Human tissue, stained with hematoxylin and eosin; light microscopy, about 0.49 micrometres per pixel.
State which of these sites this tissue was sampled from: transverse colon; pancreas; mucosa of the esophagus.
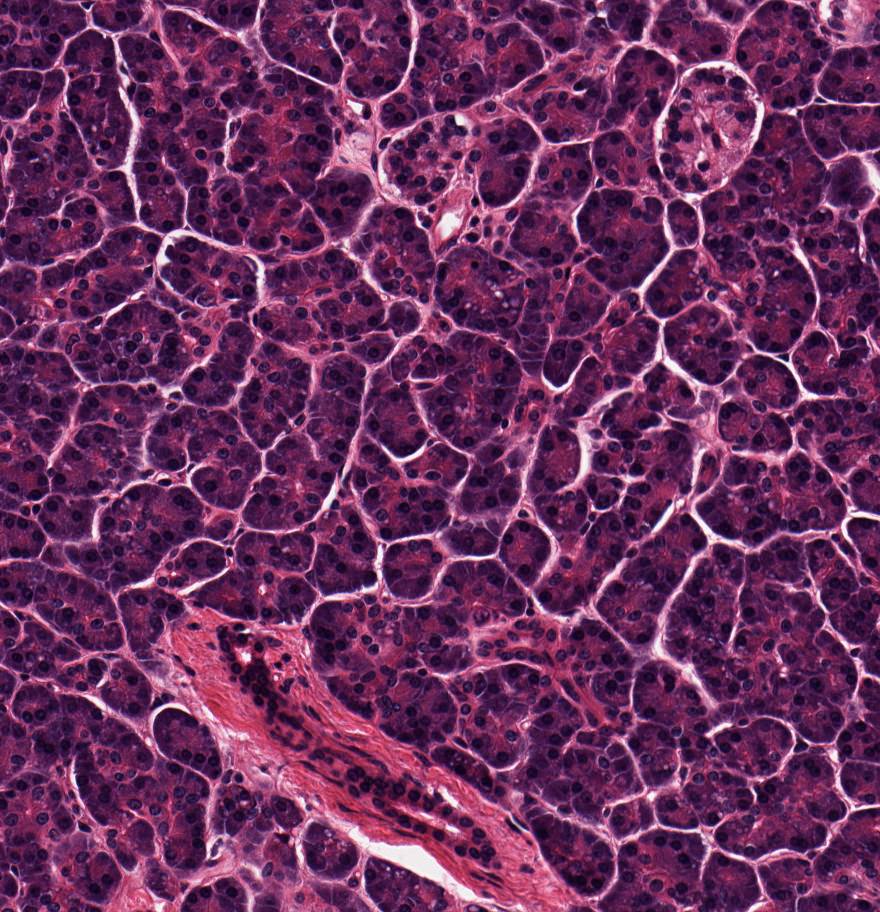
pancreas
